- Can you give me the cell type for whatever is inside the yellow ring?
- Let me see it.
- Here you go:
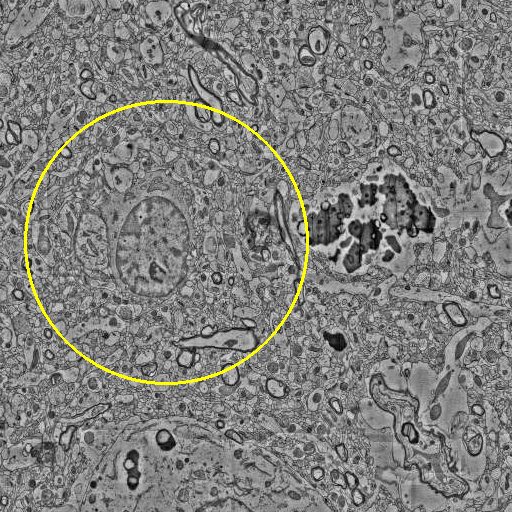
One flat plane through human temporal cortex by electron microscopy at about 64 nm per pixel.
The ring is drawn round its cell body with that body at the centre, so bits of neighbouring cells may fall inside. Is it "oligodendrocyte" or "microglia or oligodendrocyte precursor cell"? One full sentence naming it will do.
The cell body in the middle of the ring in this picture belongs to an oligodendrocyte.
